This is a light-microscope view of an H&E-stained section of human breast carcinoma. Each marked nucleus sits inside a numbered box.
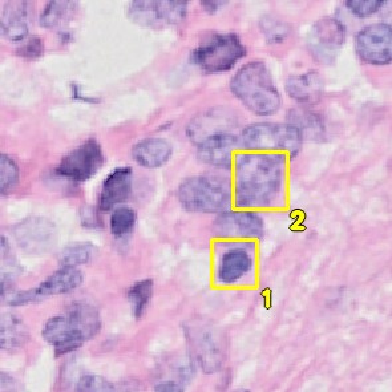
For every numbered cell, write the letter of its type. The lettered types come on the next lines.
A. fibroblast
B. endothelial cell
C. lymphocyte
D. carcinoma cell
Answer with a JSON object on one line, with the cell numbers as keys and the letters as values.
{"1": "C", "2": "D"}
